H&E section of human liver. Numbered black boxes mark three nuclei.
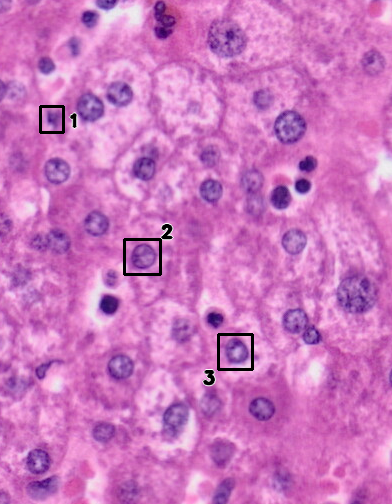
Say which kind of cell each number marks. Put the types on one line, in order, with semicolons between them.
fibroblast or stellate cell; hepatocyte; hepatocyte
